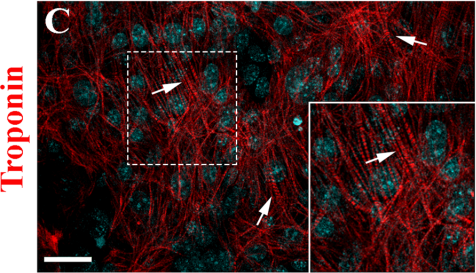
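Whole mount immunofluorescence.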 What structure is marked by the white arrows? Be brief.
Correct sarcomere striated pattern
